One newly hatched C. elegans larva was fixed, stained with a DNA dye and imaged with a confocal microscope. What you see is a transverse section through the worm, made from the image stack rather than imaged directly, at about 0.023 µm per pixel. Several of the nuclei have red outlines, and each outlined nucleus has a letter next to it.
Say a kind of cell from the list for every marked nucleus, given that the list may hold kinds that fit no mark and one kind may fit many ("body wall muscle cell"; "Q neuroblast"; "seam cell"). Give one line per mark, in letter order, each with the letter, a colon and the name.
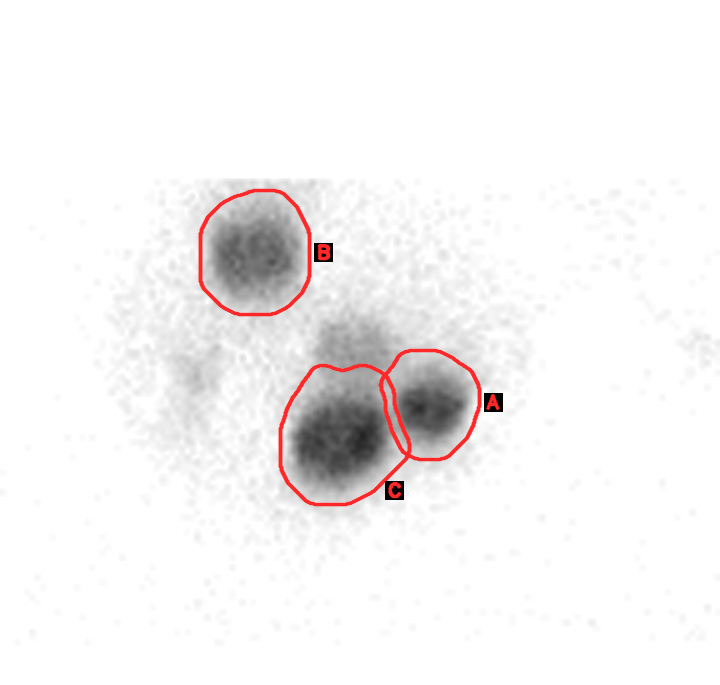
A: body wall muscle cell
B: seam cell
C: Q neuroblast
